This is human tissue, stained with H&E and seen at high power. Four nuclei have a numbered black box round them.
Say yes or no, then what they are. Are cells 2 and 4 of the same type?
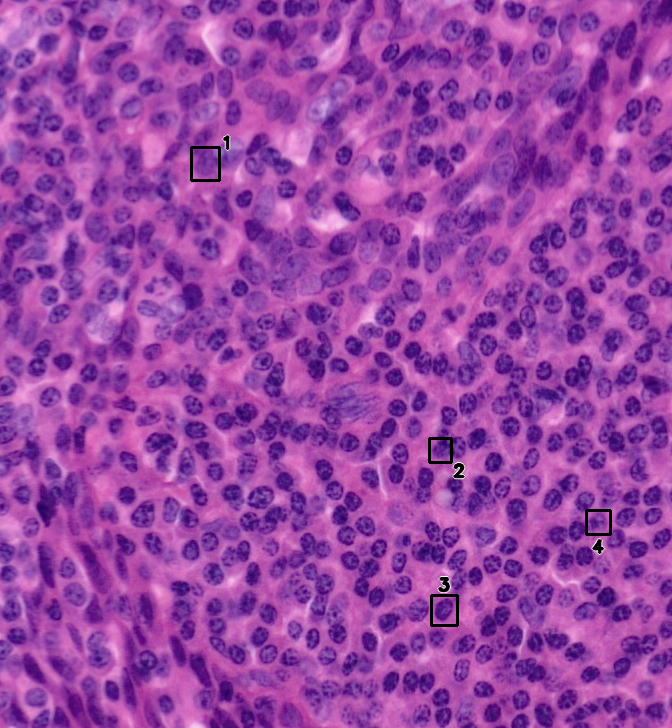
Yes, it is as plasma cells that cells 2 and 4 are both classified.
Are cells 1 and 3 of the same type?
No, cell 1 is a squamous epithelial cell, and as for cell 3, it is a plasma cell.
